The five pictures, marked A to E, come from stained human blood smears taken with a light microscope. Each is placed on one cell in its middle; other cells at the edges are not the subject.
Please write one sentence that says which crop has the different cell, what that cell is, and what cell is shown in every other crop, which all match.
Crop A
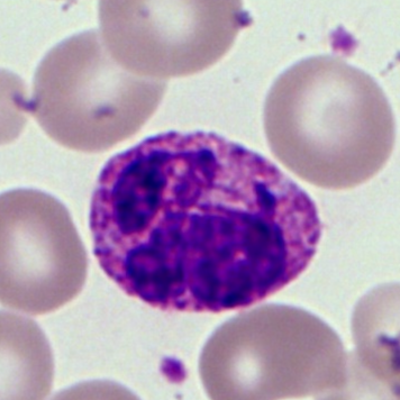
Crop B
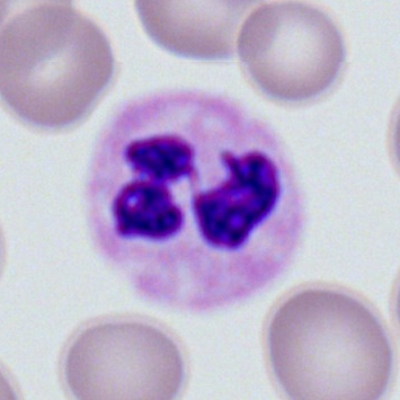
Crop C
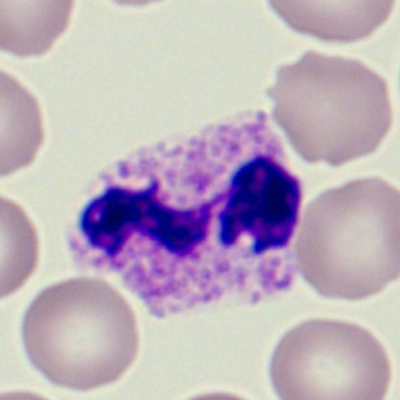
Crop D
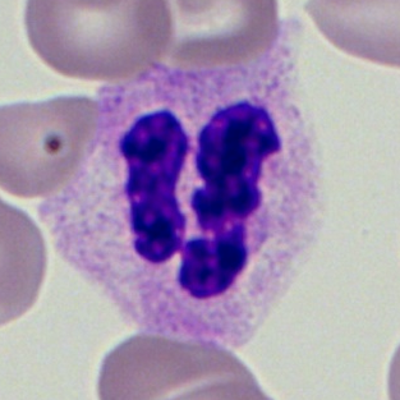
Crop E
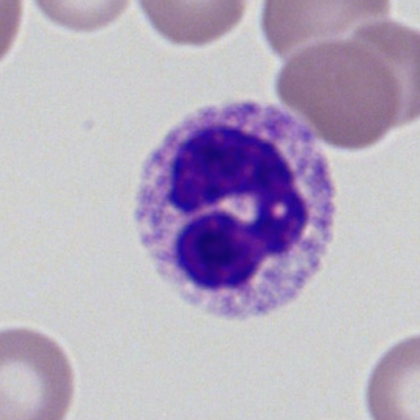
The outlier here is crop A, which is a basophil, while the remainder show segmented neutrophils.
